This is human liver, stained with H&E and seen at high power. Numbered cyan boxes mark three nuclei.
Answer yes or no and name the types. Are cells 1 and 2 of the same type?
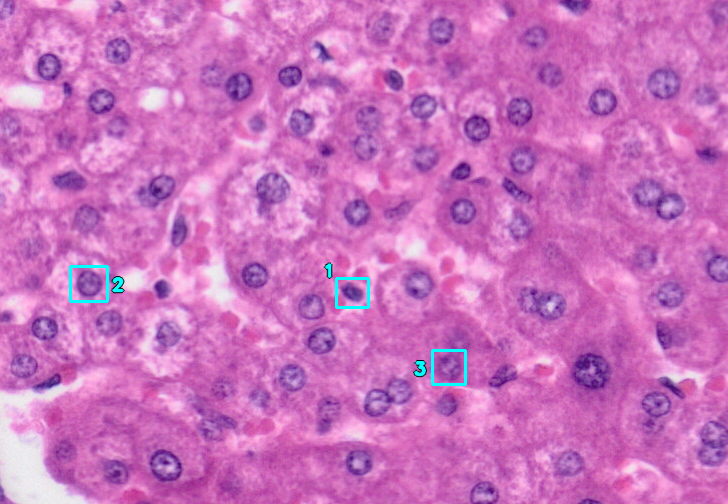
No, unlike cell 1, which is a lymphocyte, cell 2 is a hepatocyte.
